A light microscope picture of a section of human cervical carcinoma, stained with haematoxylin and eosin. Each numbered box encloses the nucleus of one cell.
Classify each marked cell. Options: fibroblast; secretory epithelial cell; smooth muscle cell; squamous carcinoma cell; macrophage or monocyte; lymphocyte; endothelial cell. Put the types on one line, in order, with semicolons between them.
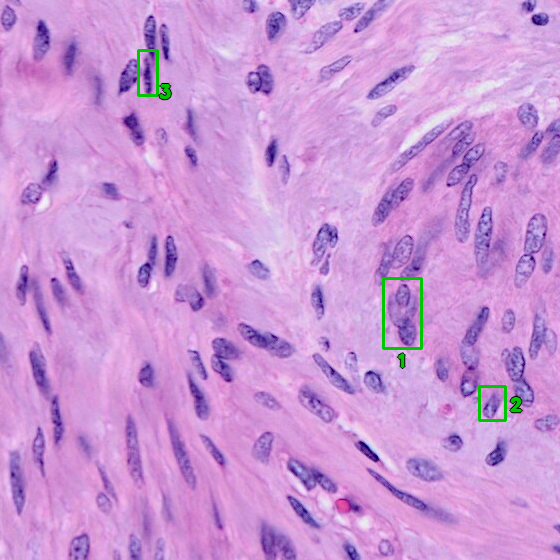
smooth muscle cell; smooth muscle cell; fibroblast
